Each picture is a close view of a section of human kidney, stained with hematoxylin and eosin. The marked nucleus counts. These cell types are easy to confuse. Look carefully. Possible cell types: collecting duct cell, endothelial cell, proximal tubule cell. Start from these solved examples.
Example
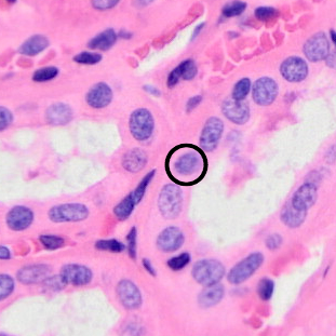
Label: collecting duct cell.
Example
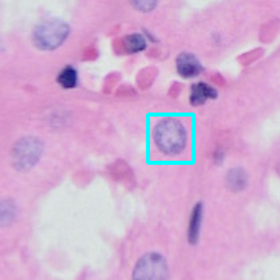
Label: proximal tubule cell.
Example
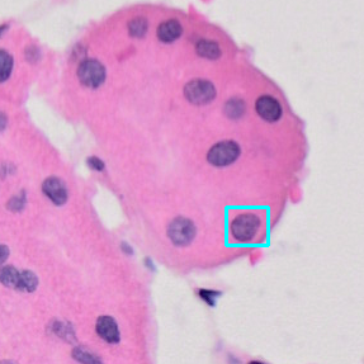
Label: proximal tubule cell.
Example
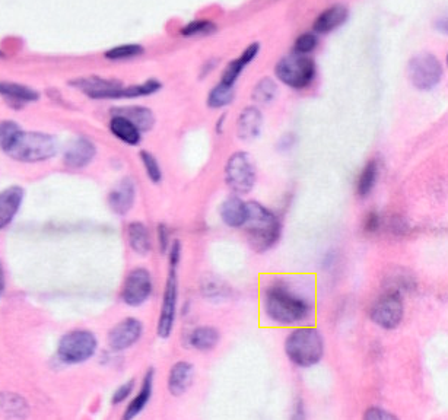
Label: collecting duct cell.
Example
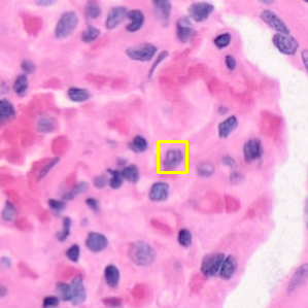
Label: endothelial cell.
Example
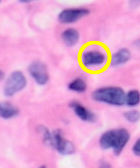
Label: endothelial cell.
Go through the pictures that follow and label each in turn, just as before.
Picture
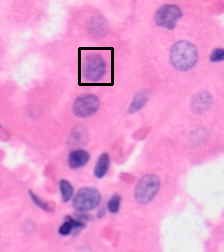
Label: proximal tubule cell.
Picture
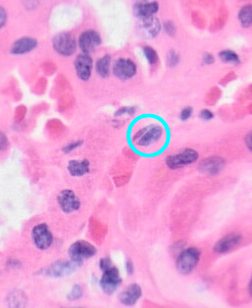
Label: endothelial cell.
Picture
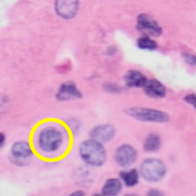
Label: collecting duct cell.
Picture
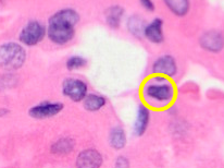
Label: collecting duct cell.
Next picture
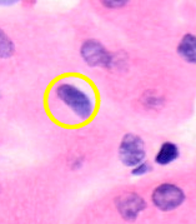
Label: endothelial cell.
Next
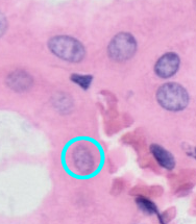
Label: proximal tubule cell.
